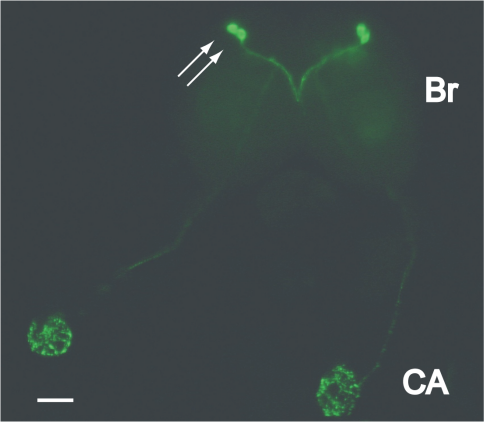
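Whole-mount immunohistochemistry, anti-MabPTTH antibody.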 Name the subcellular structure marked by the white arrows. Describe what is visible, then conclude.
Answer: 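Thin green fibres leave these bodies.
Hence: cell bodies.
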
